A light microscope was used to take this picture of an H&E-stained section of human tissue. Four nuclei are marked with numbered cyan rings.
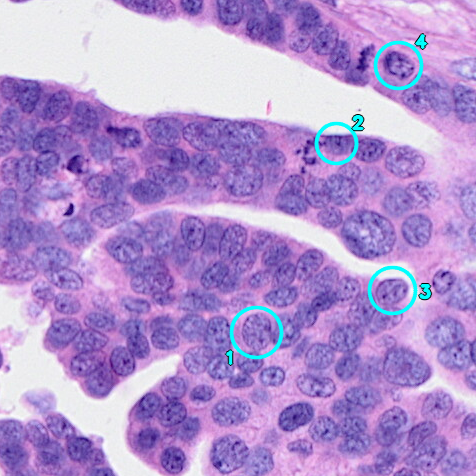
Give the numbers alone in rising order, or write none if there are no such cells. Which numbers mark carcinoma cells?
1, 2, 3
